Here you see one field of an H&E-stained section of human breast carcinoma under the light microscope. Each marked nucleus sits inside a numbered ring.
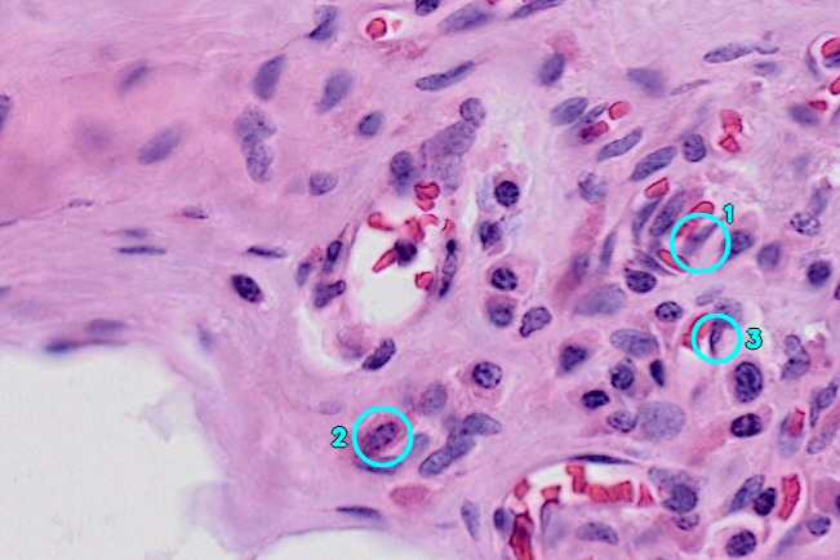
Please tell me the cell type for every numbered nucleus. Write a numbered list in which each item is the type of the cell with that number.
1. endothelial cell
2. mast cell
3. endothelial cell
